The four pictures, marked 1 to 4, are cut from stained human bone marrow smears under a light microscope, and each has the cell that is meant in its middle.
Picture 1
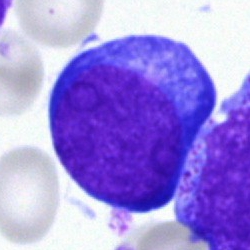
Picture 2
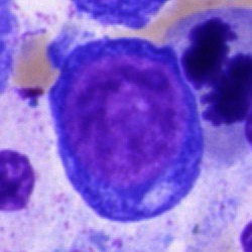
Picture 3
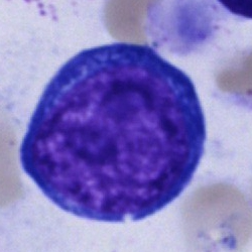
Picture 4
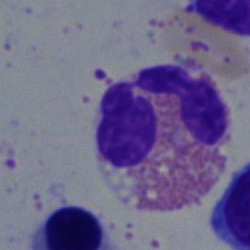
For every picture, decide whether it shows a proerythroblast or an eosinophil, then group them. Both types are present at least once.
1: proerythroblast
2: proerythroblast
3: proerythroblast
4: eosinophil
